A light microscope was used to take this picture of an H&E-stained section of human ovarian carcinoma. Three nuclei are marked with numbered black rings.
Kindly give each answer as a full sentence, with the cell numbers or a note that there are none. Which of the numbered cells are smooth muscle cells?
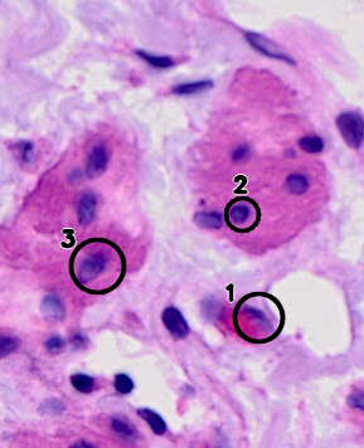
The cells tagged with numbers 2 and 3 are smooth muscle cells.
